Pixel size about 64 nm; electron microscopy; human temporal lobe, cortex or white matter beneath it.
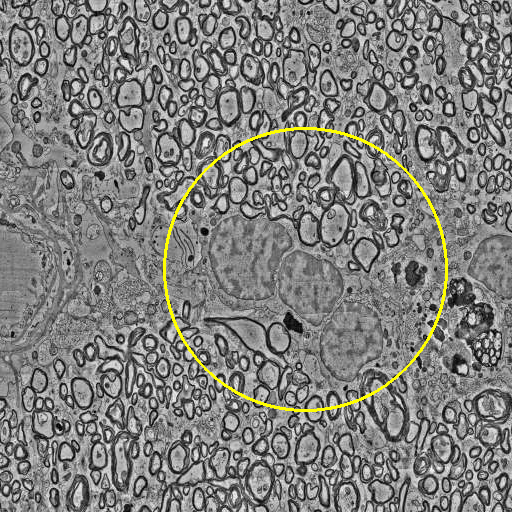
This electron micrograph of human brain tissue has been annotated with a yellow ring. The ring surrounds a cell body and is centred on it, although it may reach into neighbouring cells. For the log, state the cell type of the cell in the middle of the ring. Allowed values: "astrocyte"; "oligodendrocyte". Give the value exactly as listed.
oligodendrocyte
